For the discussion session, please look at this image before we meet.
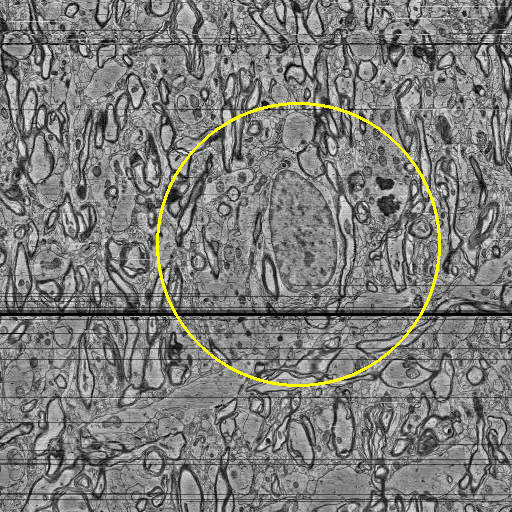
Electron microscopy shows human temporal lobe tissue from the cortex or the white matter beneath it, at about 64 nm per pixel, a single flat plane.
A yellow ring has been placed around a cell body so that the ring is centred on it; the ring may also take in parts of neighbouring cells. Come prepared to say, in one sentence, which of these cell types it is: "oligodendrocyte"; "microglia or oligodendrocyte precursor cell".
The cell centred in the ring is a microglial cell or oligodendrocyte precursor cell.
